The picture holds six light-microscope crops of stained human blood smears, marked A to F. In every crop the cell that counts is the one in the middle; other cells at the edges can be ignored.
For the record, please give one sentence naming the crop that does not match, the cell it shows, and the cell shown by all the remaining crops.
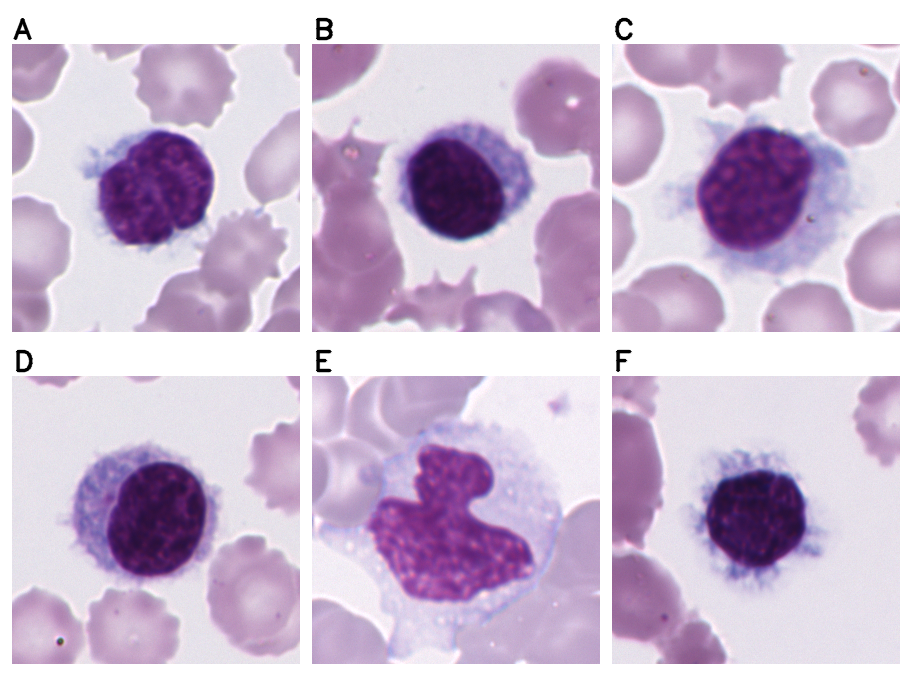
Crop E is the outlier, with a monocyte against hairy cells in the rest.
